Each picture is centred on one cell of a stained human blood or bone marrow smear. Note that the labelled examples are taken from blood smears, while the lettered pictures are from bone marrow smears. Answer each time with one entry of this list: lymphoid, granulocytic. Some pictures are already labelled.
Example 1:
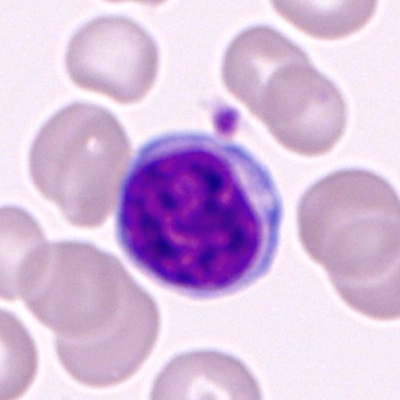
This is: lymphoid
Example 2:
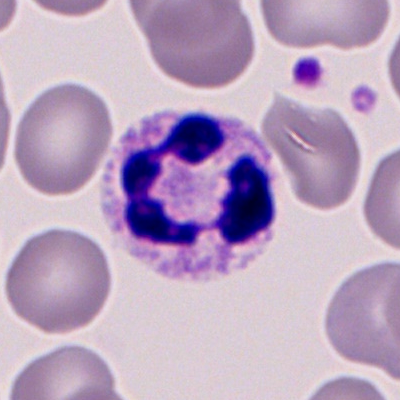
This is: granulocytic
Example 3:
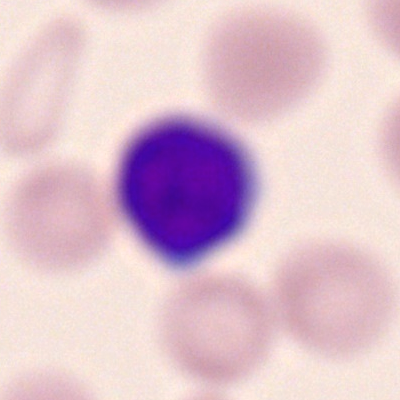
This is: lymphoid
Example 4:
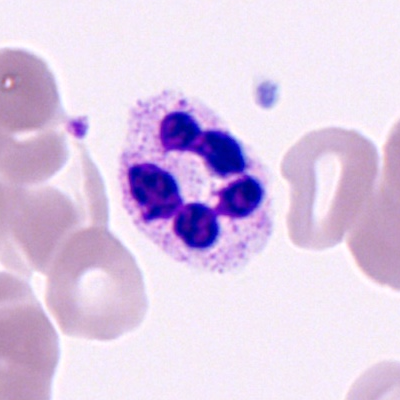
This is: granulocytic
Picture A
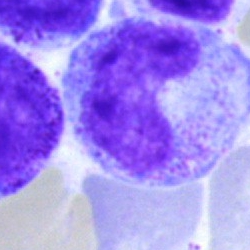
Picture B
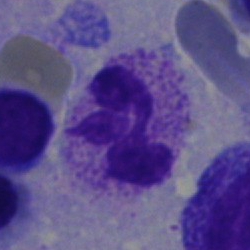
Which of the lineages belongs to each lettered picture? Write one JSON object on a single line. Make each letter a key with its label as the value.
{"A": "granulocytic", "B": "granulocytic"}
